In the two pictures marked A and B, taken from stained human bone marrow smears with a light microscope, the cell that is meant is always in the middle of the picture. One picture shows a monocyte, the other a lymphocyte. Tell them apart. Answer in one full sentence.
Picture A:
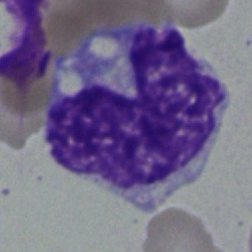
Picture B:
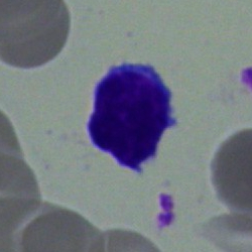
Picture A shows a monocyte and picture B shows a lymphocyte.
